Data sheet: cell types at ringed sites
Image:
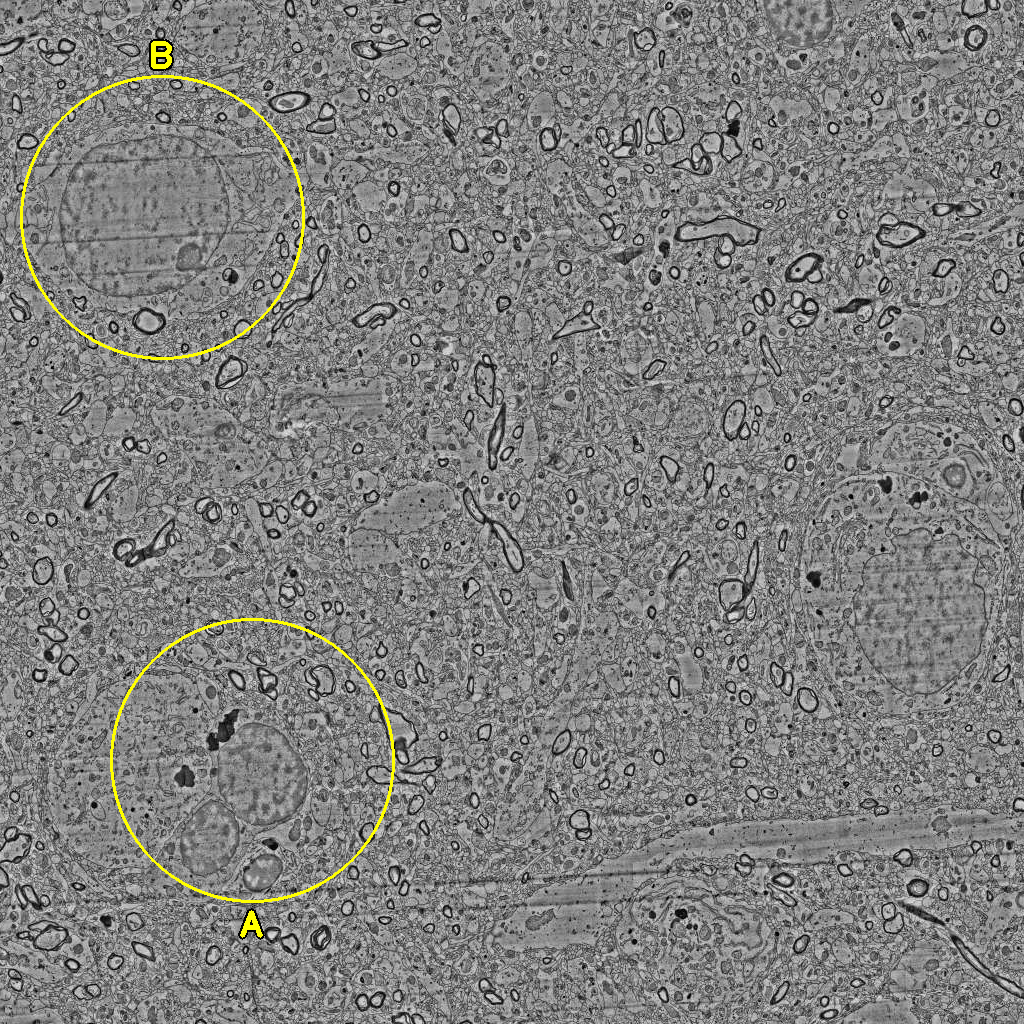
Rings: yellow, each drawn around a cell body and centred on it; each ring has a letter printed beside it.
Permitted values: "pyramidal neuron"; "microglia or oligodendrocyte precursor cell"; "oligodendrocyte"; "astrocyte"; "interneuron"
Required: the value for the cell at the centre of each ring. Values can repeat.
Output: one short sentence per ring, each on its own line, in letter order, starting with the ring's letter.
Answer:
Ring A has an oligodendrocyte at its centre.
Ring B has an interneuron at its centre.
